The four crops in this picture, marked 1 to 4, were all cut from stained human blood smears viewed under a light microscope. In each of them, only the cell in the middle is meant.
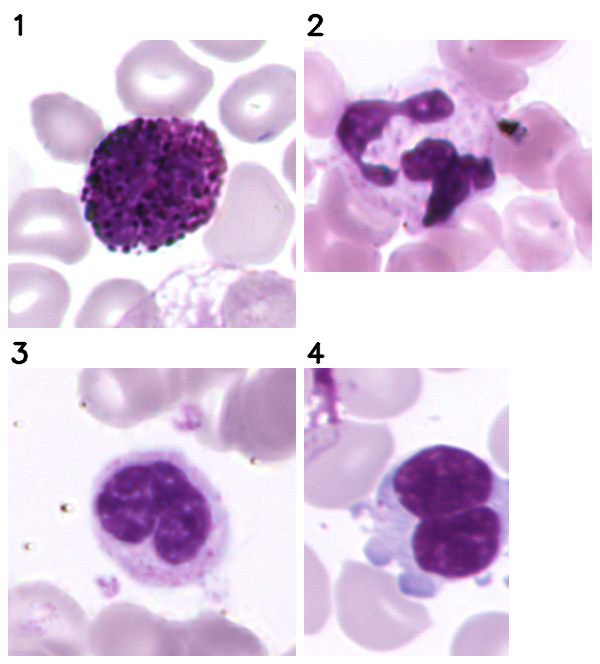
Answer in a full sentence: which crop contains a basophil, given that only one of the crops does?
Among the crops given, only crop 1 shows a basophil.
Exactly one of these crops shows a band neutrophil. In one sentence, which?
Of the labeled crops, the one with a band neutrophil is crop 3.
